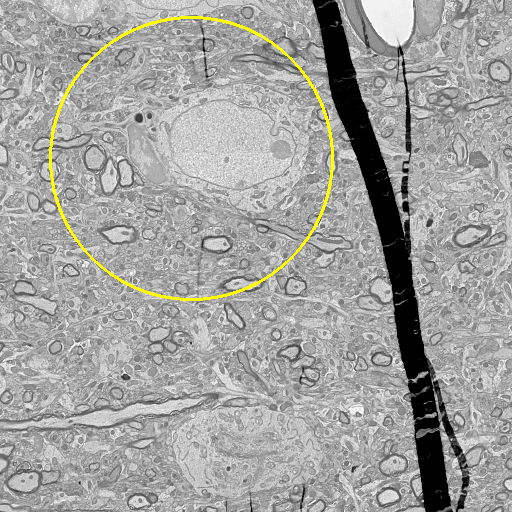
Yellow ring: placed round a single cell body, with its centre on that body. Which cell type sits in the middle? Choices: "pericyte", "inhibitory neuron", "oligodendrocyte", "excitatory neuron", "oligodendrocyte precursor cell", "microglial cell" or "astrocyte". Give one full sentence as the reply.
It is a microglial cell whose cell body sits at the centre of the yellow ring.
